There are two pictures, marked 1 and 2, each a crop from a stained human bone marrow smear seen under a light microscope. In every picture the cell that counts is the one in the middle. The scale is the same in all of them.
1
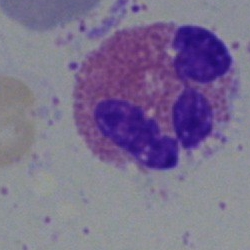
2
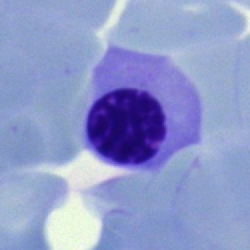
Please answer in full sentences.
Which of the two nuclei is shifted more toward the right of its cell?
The nucleus in crop 1 lies further toward the right of its cell.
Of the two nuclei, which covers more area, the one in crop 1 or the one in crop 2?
It is the nucleus in crop 1, about 1.5 times as large in area as the one in crop 2.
